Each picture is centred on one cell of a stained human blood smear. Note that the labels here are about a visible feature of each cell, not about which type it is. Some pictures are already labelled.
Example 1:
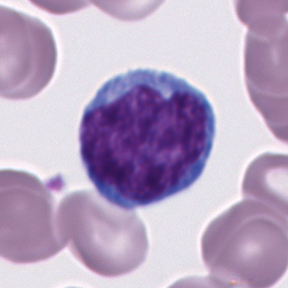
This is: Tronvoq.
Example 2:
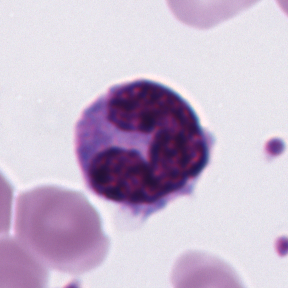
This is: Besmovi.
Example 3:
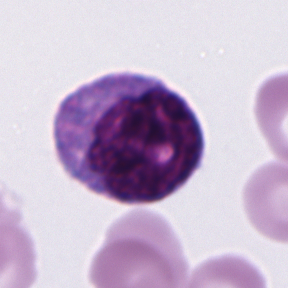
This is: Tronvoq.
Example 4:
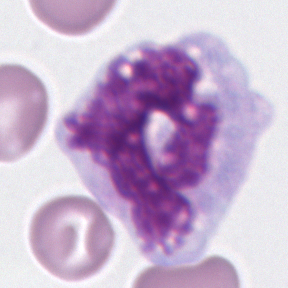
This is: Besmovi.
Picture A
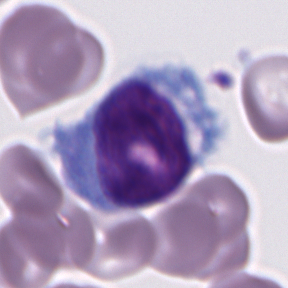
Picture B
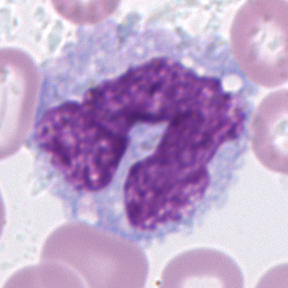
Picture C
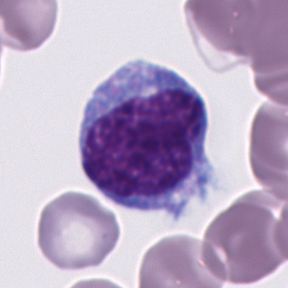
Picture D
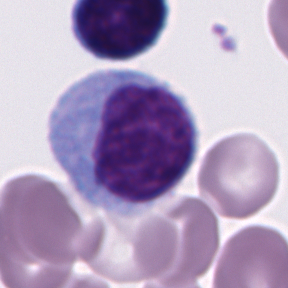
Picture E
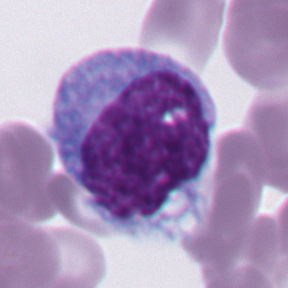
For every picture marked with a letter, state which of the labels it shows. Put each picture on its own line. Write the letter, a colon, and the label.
A: Tronvoq.
B: Besmovi.
C: Tronvoq.
D: Tronvoq.
E: Tronvoq.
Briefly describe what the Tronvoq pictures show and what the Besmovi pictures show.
In Tronvoq: round or oval nucleus. In Besmovi: band-shaped nucleus.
